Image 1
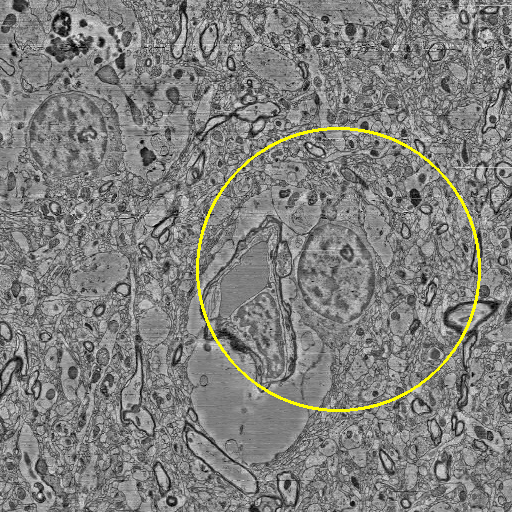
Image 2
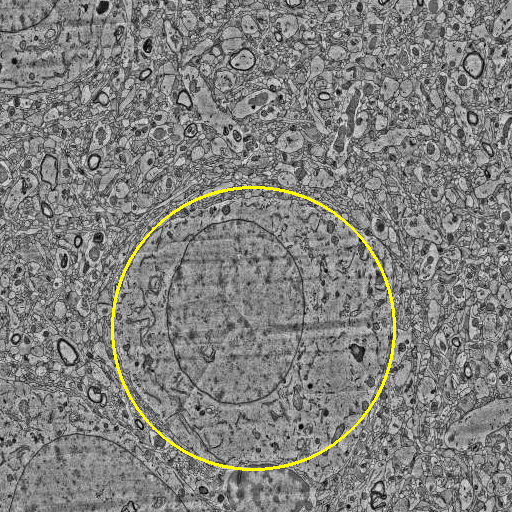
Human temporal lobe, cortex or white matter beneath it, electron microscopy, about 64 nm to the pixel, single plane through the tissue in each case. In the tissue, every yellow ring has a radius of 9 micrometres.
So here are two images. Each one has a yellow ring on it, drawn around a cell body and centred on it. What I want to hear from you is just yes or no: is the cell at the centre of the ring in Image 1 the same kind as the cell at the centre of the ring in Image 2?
no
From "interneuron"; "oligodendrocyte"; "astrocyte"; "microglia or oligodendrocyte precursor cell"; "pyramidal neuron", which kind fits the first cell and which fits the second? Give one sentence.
The cell marked in the first picture is an oligodendrocyte, and the one marked in the second is a pyramidal neuron.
